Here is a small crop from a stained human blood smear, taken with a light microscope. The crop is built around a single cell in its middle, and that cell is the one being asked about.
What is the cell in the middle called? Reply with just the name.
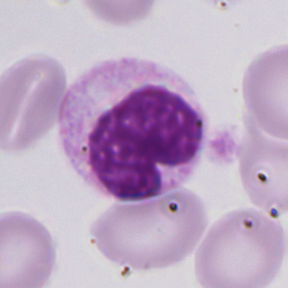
band neutrophil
